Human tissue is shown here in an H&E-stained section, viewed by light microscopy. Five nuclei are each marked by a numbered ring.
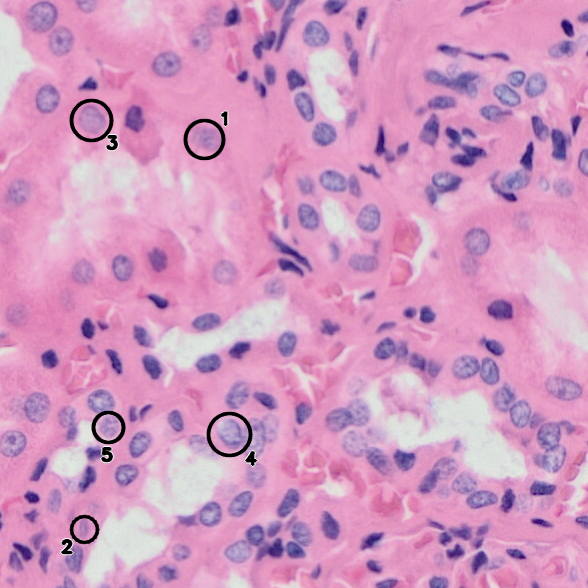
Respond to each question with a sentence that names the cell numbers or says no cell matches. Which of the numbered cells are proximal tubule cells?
Each of the cells numbered 1 and 3 is among the proximal tubule cells.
